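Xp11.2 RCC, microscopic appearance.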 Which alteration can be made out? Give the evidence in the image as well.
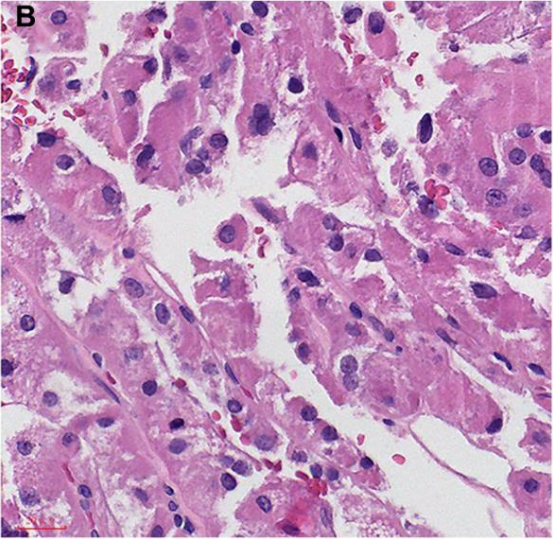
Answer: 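Abundant and deeply stained eosinophile cytoplasm. Large polygonal cells have plentiful cytoplasm. The cytoplasm stains a deep pink. Nuclei are small relative to the volume of cytoplasm.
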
